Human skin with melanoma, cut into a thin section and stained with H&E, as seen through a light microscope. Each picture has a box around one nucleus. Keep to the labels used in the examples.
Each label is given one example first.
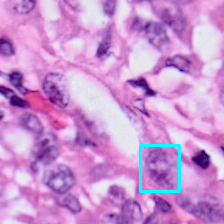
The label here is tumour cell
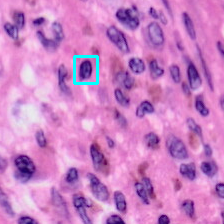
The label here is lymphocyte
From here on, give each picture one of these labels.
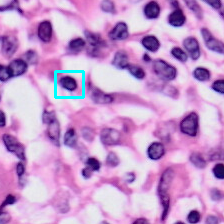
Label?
lymphocyte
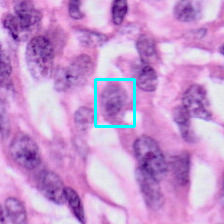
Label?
tumour cell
